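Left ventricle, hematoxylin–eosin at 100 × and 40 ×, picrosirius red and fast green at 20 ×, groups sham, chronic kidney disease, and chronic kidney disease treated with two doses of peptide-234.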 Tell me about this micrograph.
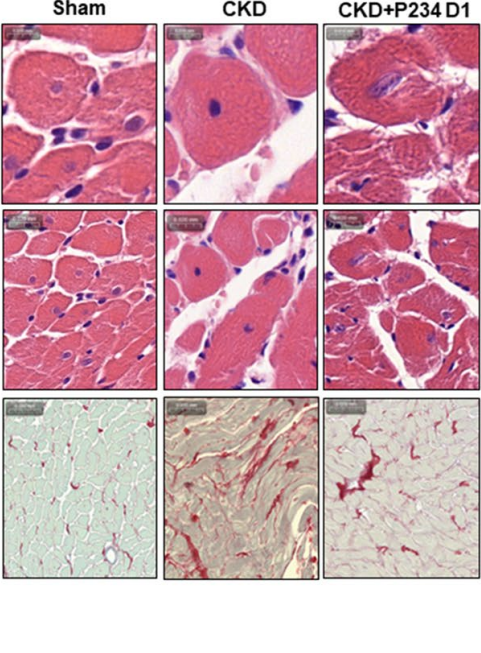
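In the top two rows, heart muscle is cut across, and the cardiomyocytes appear as large polygonal pink profiles, many with a single central oval nucleus. Narrow pale interstitial spaces between them hold small dark nuclei.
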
